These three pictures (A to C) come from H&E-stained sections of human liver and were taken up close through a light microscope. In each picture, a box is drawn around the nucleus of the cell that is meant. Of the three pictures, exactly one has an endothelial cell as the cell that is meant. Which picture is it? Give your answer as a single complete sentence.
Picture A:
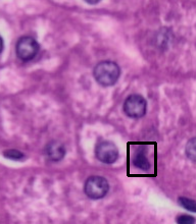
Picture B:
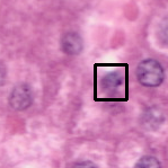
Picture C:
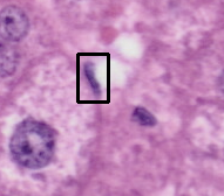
Picture C shows the endothelial cell.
